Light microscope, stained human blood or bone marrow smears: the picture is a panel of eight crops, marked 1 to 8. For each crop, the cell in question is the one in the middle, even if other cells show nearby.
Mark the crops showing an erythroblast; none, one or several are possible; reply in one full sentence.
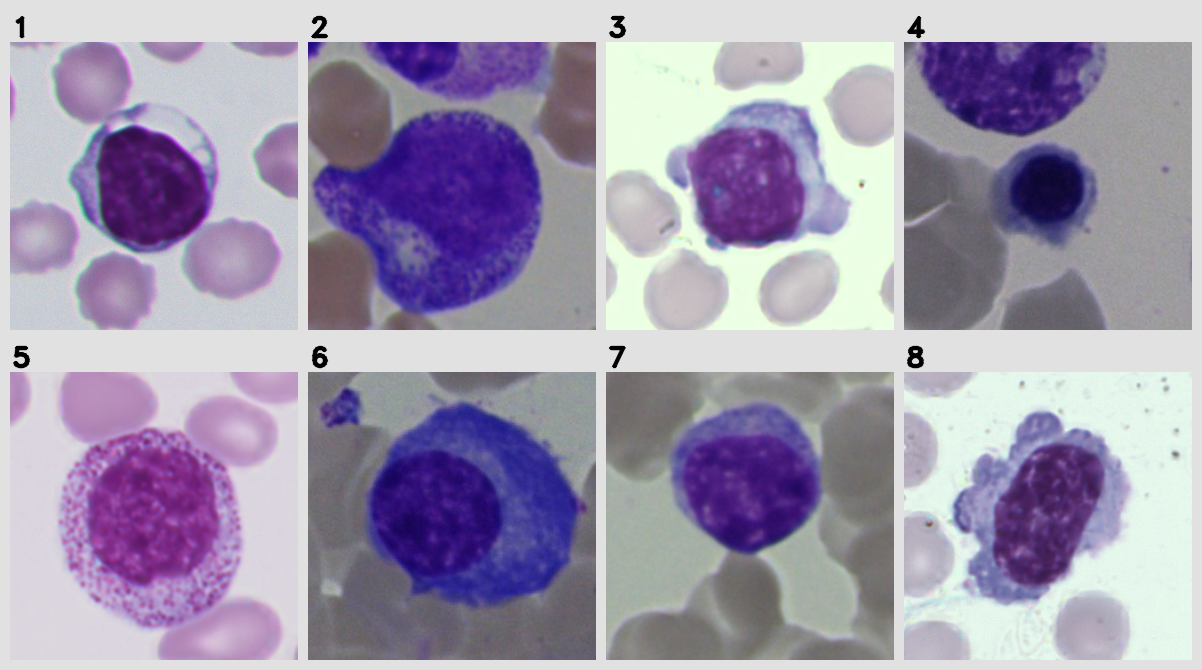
In this set, an erythroblast is present only in crop 4.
